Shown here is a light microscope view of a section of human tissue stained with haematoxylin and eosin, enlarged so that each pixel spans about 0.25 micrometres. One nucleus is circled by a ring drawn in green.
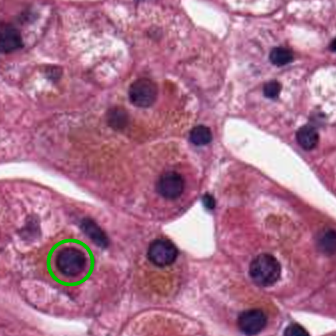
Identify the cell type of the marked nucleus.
adrenal cortical cell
